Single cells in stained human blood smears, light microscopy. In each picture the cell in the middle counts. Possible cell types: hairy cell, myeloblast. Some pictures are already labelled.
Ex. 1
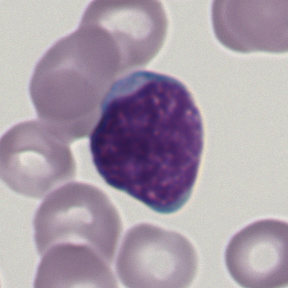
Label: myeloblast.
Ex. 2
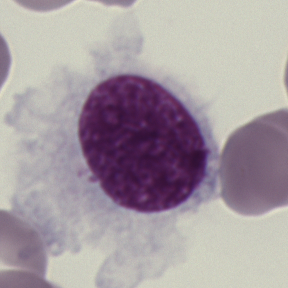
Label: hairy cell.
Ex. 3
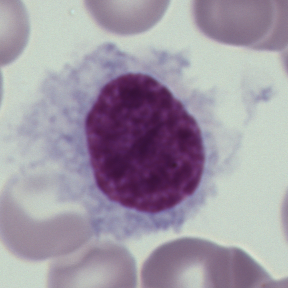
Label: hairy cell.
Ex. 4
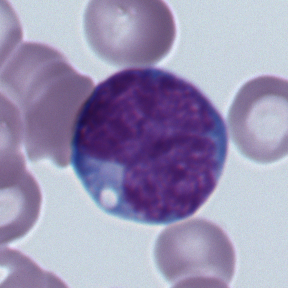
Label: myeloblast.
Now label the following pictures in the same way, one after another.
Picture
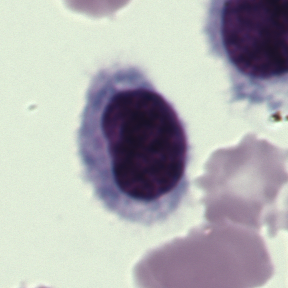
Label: hairy cell.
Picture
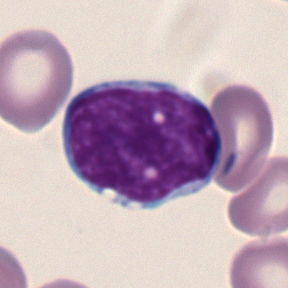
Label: myeloblast.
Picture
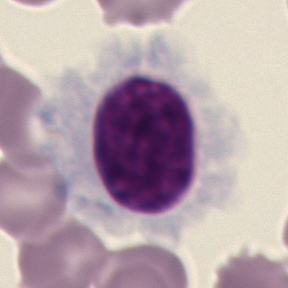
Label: hairy cell.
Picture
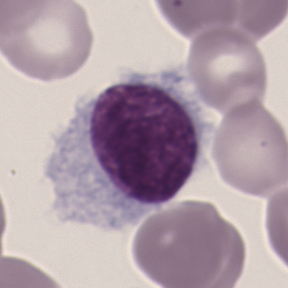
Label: hairy cell.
